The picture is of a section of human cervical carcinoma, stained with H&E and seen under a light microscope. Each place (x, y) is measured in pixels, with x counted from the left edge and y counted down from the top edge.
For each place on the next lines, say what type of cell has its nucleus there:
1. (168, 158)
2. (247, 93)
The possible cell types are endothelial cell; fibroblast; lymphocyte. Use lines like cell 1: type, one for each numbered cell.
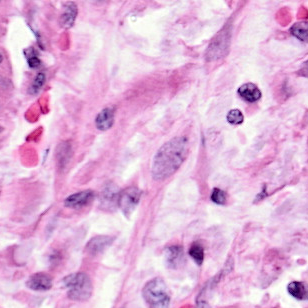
cell 1: fibroblast
cell 2: lymphocyte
